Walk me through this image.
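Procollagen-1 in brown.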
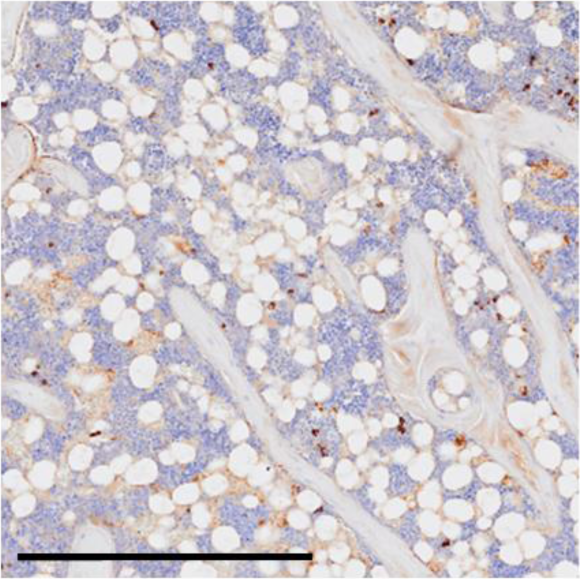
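Trabecular bone with marrow that is heavily occupied by fat cells. Thin pale beige trabeculae cross the field diagonally, their surfaces showing only faint, patchy brown lining. Between them, numerous round clear empty vacuoles of adipocytes of varying size crowd the marrow. Small blue-nucleated hematopoietic cells fill the remaining spaces between the fat cells. A few small brown dots are scattered through the marrow.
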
